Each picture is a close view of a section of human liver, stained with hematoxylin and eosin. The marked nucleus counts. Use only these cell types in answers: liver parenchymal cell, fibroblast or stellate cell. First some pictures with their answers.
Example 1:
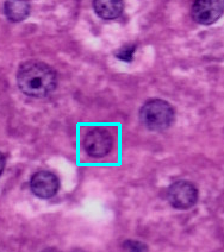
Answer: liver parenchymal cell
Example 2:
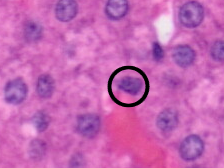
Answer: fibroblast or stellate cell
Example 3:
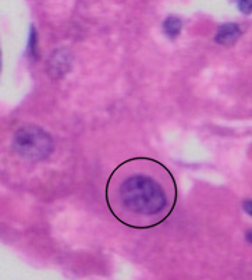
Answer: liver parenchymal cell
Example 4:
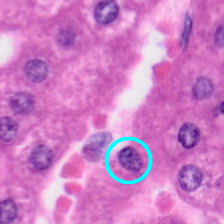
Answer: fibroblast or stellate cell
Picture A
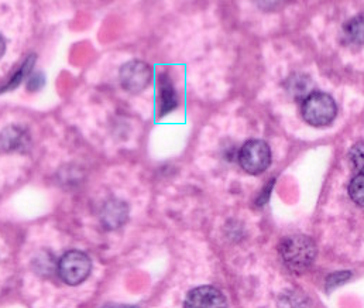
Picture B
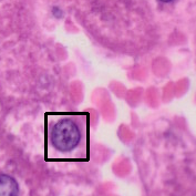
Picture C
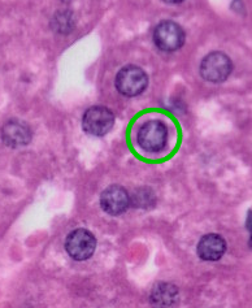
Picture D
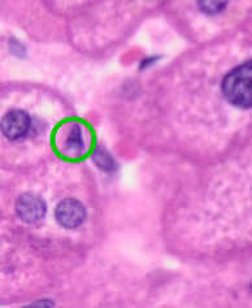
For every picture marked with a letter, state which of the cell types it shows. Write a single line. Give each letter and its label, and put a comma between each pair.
A fibroblast or stellate cell, B liver parenchymal cell, C liver parenchymal cell, D fibroblast or stellate cell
